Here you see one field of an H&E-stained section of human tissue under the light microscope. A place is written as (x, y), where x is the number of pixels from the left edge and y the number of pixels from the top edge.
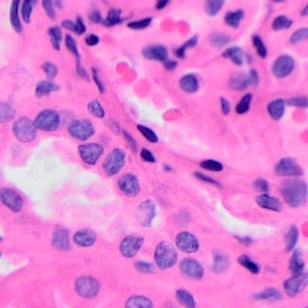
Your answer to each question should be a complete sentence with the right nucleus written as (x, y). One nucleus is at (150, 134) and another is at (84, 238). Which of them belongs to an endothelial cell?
The nucleus at (150, 134), rather than the other, belongs to an endothelial cell.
